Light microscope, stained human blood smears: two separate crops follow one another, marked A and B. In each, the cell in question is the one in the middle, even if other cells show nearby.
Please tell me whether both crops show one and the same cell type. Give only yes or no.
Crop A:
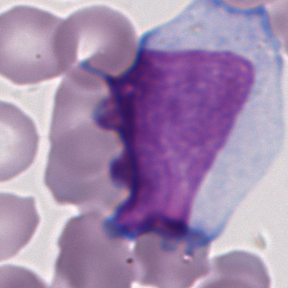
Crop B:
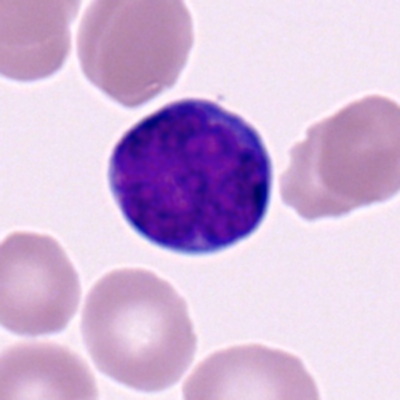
yes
